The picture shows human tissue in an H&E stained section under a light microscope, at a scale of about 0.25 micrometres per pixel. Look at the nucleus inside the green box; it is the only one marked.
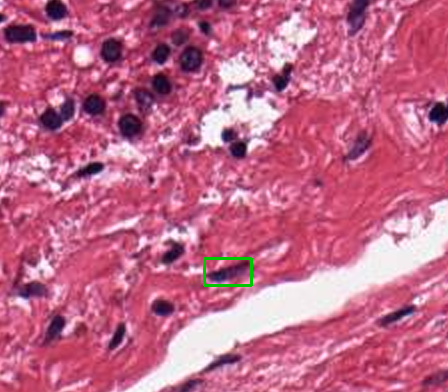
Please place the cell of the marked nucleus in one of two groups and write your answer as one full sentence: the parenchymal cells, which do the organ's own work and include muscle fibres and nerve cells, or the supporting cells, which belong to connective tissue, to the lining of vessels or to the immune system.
It is in a supporting cell that the marked nucleus lies.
